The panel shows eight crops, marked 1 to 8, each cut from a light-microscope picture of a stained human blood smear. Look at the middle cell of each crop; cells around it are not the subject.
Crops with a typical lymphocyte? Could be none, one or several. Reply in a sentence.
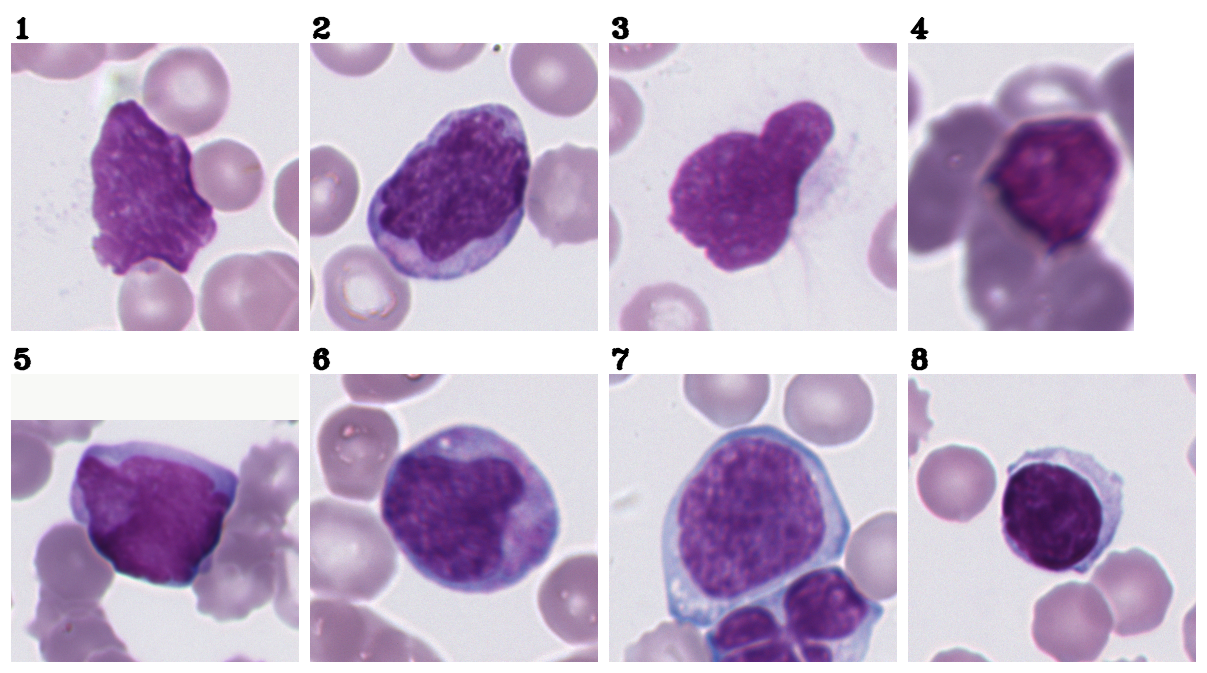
In this set, a typical lymphocyte is present only in crop 8.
